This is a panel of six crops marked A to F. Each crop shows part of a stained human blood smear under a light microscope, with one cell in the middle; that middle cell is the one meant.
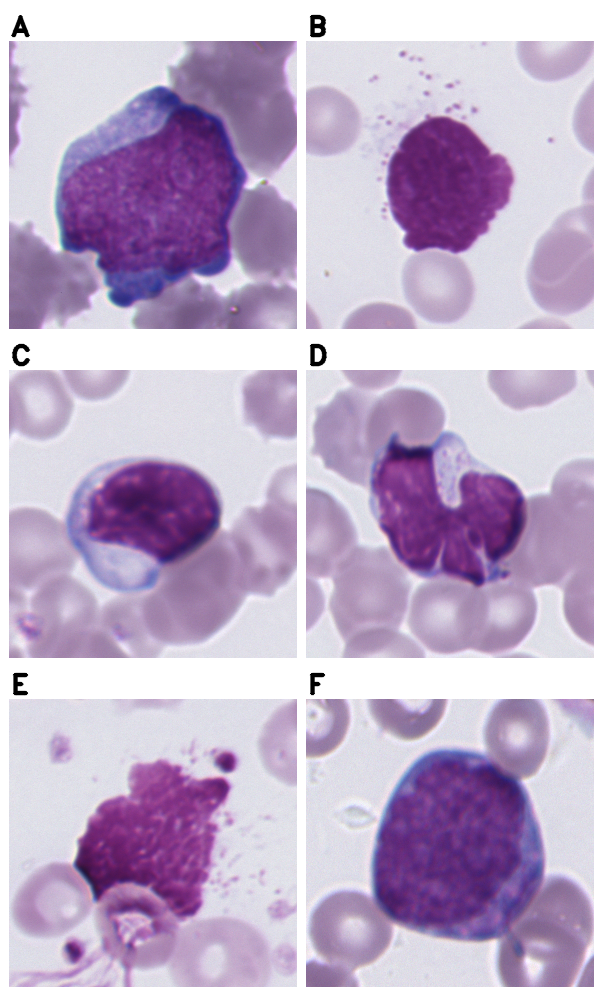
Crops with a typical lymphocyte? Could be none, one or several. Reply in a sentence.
There isn't a typical lymphocyte in any of these crops.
